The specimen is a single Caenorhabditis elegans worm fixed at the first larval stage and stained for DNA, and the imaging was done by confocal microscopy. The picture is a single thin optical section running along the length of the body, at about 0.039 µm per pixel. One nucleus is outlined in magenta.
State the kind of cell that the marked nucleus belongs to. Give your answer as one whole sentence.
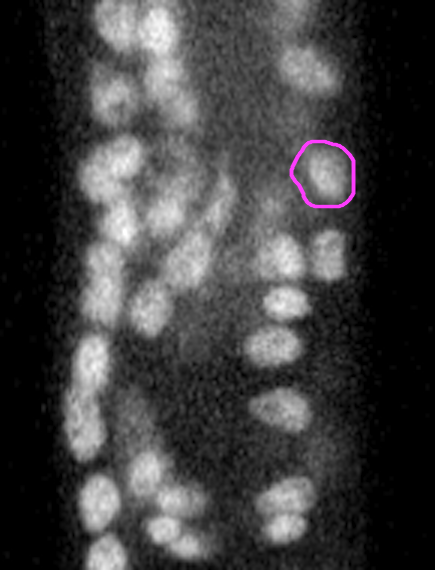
It belongs to a body wall muscle cell.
